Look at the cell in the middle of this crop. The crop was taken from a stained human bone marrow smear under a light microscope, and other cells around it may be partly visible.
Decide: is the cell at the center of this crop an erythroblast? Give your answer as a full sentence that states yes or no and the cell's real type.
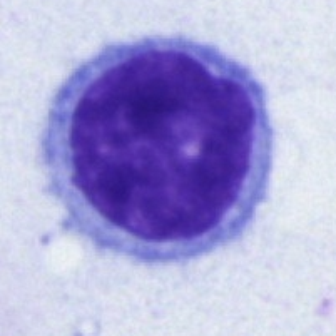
No, the cell found centrally in the crop is a lymphocyte, not an erythroblast.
